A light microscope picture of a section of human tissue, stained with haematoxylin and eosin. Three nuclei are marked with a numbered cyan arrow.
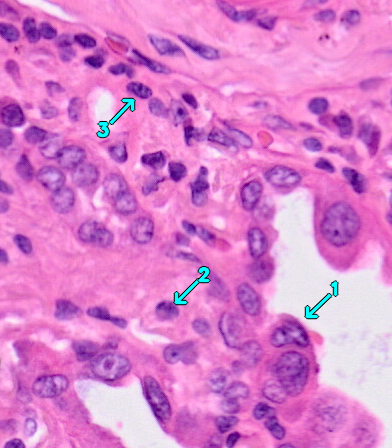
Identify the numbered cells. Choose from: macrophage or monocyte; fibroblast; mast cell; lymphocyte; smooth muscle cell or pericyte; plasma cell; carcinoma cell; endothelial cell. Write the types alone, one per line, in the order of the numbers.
carcinoma cell
lymphocyte
mast cell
